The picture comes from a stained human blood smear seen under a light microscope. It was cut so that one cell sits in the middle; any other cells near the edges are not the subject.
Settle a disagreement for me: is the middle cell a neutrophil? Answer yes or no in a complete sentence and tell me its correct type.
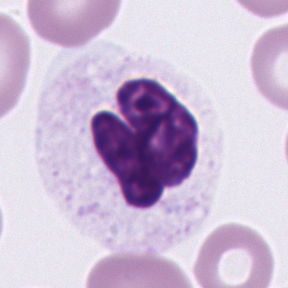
Yes, the cell in the middle of the view is a neutrophil.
